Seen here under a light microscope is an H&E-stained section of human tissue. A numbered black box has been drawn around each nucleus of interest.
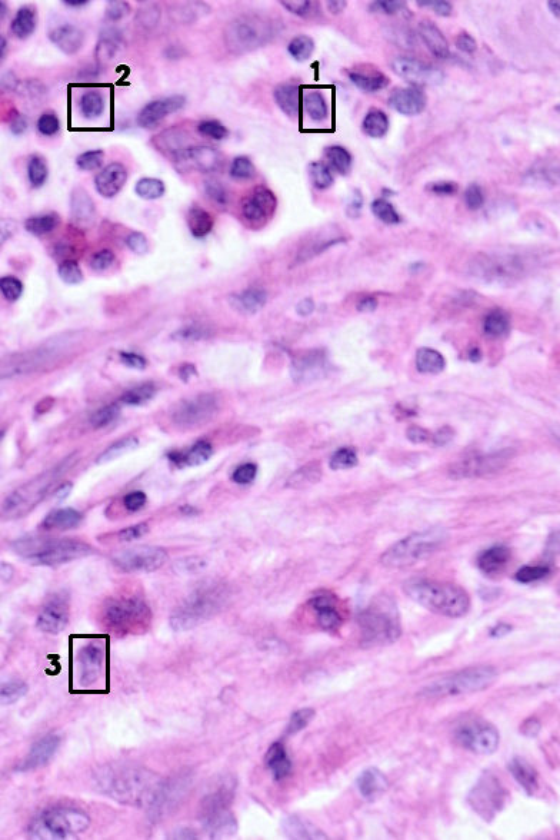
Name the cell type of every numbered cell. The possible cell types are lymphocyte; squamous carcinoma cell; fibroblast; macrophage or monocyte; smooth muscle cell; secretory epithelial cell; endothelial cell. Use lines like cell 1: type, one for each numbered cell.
cell 1: lymphocyte
cell 2: lymphocyte
cell 3: macrophage or monocyte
